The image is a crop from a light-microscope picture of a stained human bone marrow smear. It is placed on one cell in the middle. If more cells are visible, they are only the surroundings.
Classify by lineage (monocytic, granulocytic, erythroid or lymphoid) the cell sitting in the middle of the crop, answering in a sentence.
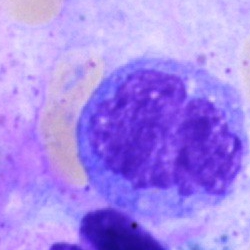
The cell at the center of this crop is categorized as monocytic in lineage.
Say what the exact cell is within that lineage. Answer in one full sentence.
This crop is built around a monocyte at its centre.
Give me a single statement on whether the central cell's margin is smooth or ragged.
Expected answer: a smooth cell outline without projections of any sort.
